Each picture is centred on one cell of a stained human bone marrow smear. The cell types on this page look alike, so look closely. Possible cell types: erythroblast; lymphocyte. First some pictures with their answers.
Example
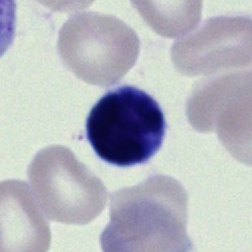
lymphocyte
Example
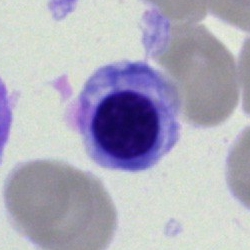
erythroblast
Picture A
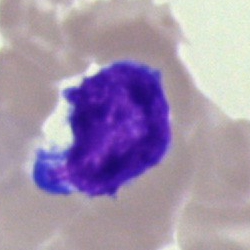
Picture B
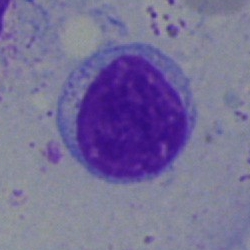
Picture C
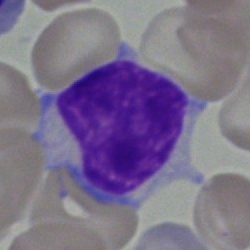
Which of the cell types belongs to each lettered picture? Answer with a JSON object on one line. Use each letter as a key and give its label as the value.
{"A": "lymphocyte", "B": "lymphocyte", "C": "lymphocyte"}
